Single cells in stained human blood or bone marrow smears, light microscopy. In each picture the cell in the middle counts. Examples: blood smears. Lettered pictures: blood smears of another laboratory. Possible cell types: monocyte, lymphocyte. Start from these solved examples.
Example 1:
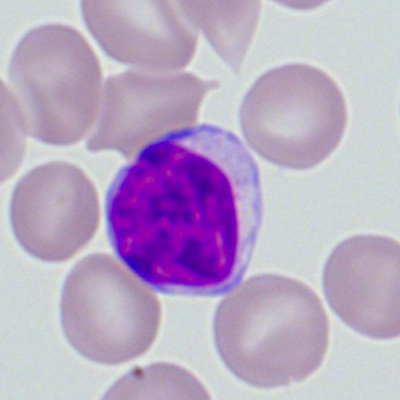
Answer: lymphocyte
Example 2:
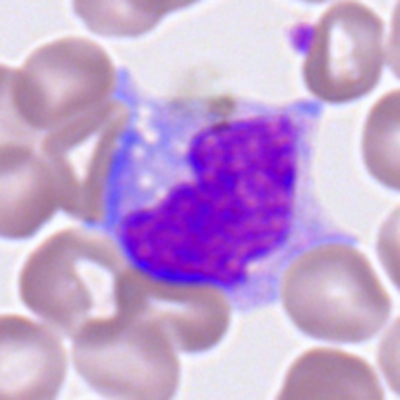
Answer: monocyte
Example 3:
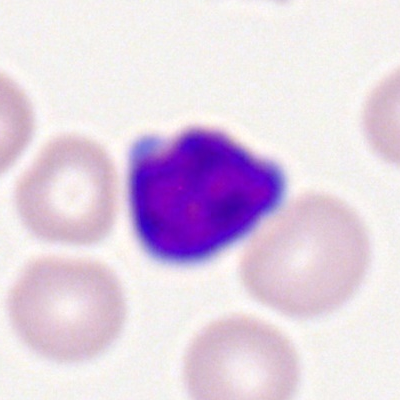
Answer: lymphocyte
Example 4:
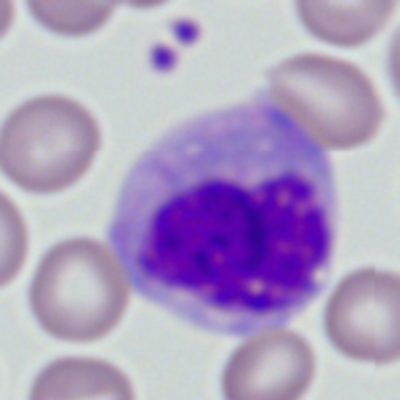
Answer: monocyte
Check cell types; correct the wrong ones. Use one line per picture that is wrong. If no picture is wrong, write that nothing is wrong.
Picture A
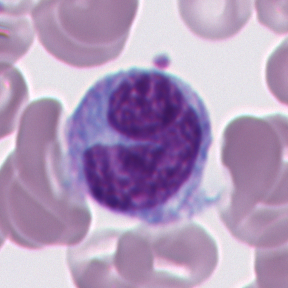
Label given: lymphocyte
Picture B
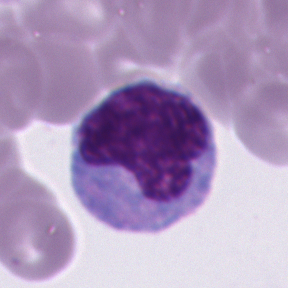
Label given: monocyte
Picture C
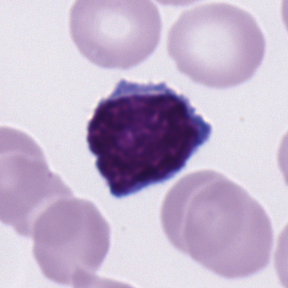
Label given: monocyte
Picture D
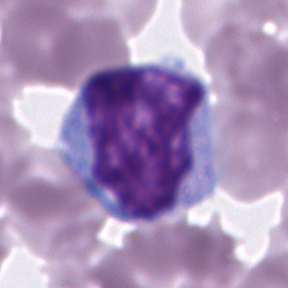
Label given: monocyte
A: change lymphocyte to monocyte
C: change monocyte to lymphocyte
